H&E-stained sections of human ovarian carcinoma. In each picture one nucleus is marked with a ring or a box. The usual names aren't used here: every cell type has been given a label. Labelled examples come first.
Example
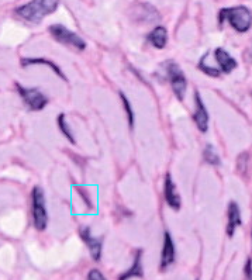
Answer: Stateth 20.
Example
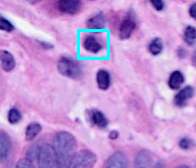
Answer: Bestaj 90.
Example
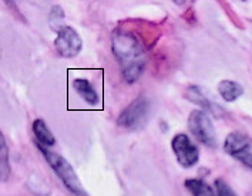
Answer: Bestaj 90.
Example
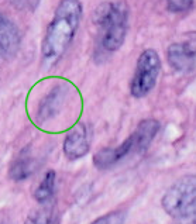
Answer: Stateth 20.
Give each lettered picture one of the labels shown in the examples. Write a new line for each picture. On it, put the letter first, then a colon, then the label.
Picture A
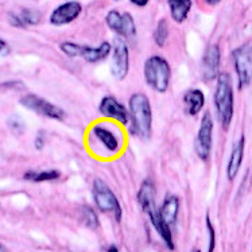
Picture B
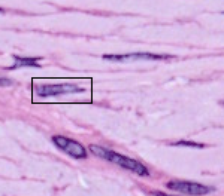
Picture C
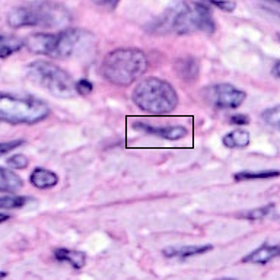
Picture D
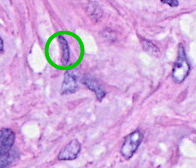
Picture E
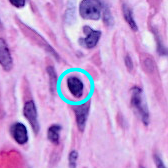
A: Bestaj 90.
B: Stateth 20.
C: Stateth 20.
D: Stateth 20.
E: Bestaj 90.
